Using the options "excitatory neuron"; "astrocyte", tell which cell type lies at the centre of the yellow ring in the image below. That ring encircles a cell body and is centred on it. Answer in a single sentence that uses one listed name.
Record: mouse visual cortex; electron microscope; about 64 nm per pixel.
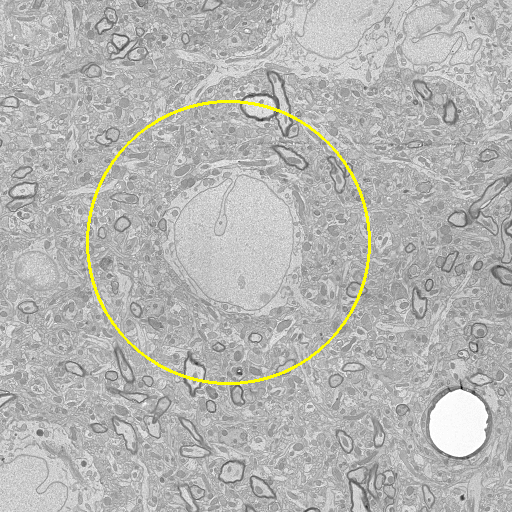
At the centre of the yellow ring lies the body of an excitatory neuron.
